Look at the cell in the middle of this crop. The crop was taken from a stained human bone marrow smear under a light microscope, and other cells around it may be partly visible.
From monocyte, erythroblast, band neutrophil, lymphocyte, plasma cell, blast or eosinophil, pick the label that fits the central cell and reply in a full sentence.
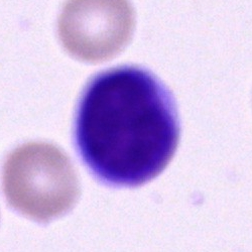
Located at the centre of the crop is a lymphocyte.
